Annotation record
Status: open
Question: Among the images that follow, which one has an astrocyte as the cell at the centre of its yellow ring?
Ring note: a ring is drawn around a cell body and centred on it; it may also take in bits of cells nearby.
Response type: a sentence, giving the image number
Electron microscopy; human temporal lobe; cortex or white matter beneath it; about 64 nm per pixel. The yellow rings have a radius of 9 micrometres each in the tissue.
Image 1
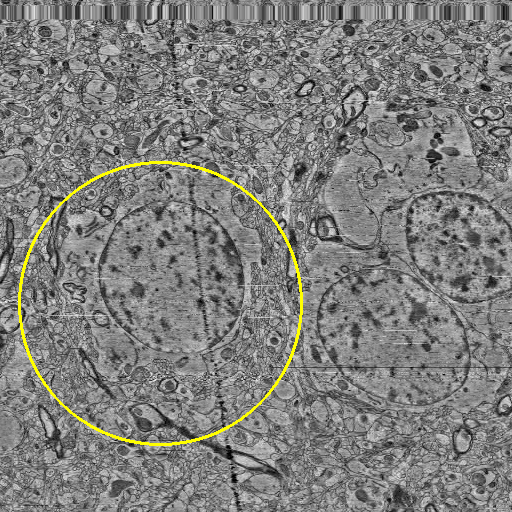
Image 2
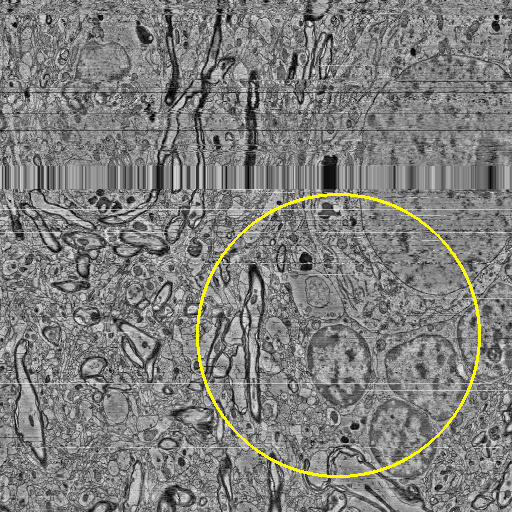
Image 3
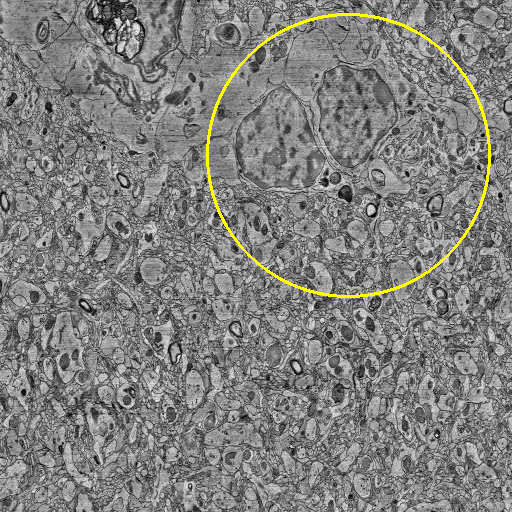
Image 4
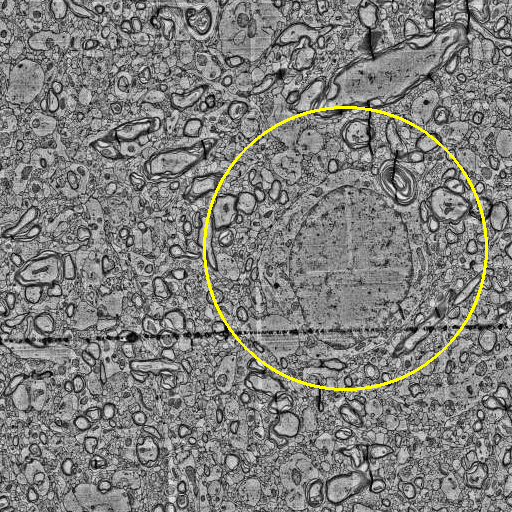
Image 1 shows it at the centre of its ring.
